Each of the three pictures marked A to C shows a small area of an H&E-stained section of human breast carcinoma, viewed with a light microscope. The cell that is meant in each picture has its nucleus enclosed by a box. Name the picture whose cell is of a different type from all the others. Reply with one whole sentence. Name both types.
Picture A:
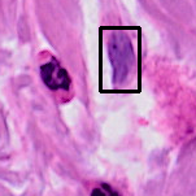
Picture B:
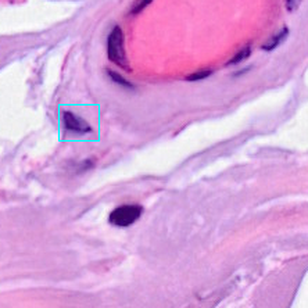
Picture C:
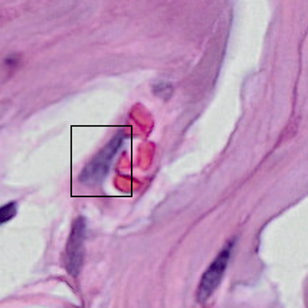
The different one is picture C; it shows an endothelial cell, whereas all the others show fibroblasts.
